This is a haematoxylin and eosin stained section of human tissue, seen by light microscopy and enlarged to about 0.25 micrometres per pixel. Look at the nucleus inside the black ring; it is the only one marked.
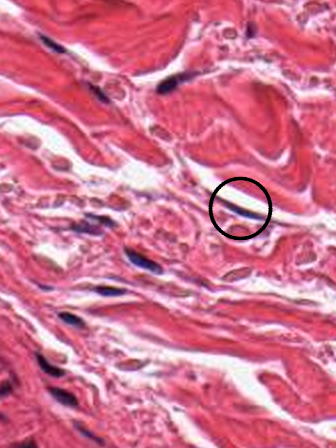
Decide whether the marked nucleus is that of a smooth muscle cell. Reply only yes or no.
no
